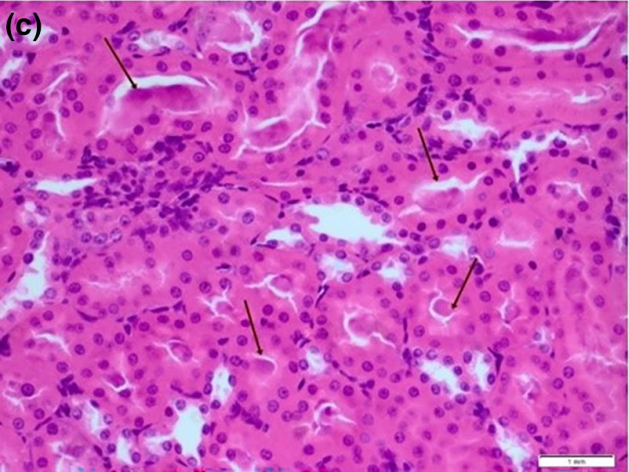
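This is kidney cortex with closely packed renal tubules lined by a single layer of cuboidal epithelial cells. The cells have round, centrally or basally placed nuclei and abundant pink cytoplasm. Several tubule lumens contain homogeneous, glassy, pink material without nuclei, forming hyaline casts that fill or partly fill the lumen. Other lumens are narrow or show clear spaces. Between the tubules lie small clusters of dark, elongated and rounded interstitial nuclei, and thin interstitial spaces separate the tubular profiles.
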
